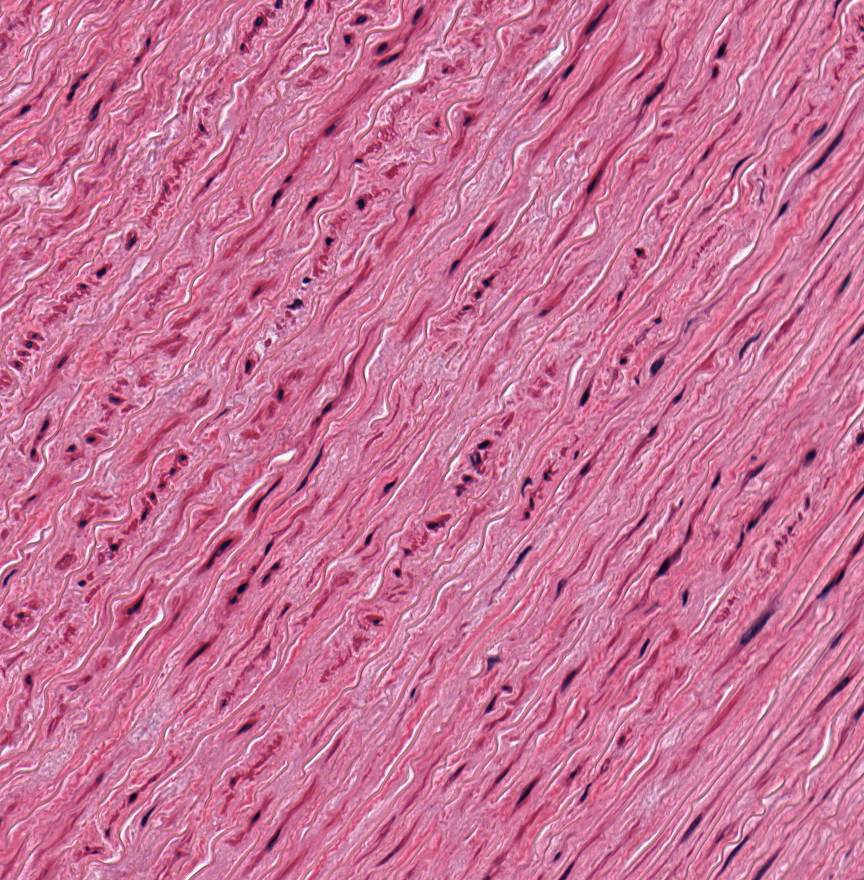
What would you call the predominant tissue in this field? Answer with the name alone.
tunica media of an artery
